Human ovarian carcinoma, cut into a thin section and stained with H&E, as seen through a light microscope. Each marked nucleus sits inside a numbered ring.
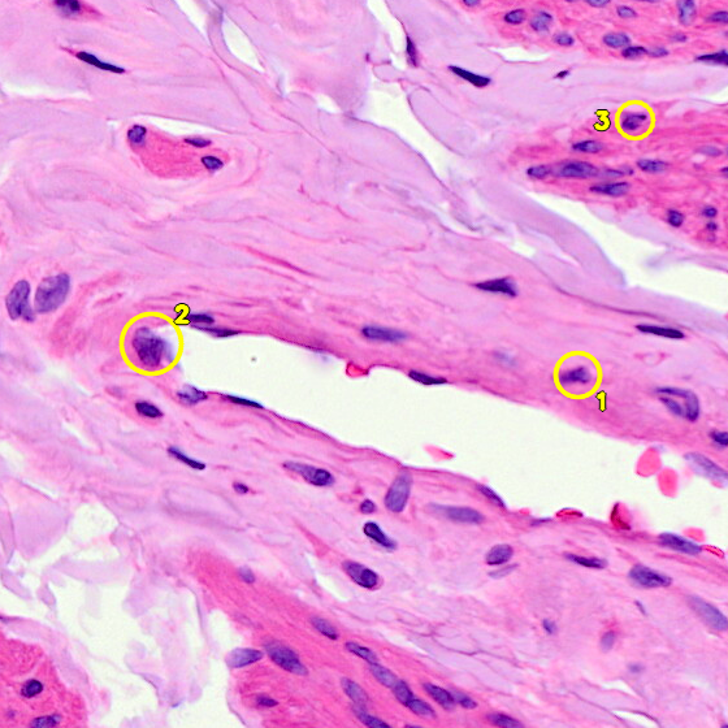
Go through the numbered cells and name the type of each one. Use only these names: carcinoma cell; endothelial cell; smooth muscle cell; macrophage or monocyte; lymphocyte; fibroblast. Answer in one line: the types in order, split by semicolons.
smooth muscle cell; endothelial cell; smooth muscle cell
